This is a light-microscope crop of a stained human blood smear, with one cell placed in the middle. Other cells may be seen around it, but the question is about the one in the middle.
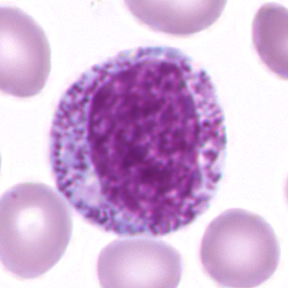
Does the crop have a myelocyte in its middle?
yes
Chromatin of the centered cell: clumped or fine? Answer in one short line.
You can see that its chromatin is coarsely clumped.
